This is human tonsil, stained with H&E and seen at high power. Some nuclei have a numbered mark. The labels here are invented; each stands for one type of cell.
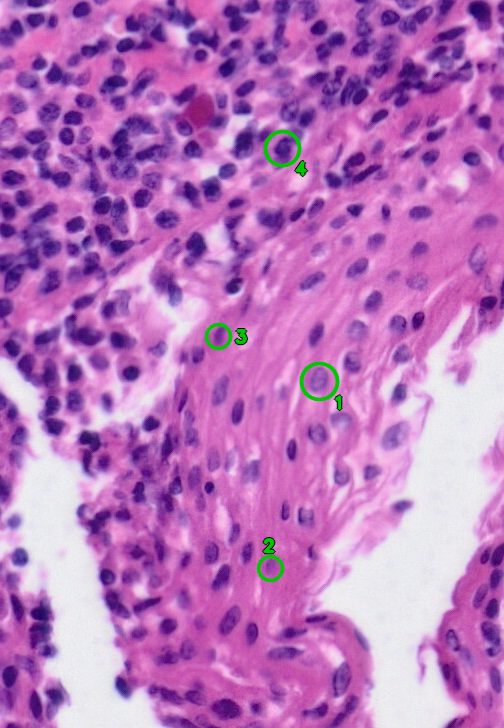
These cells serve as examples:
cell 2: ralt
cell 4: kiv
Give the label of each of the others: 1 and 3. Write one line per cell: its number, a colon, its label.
1: ralt
3: ralt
